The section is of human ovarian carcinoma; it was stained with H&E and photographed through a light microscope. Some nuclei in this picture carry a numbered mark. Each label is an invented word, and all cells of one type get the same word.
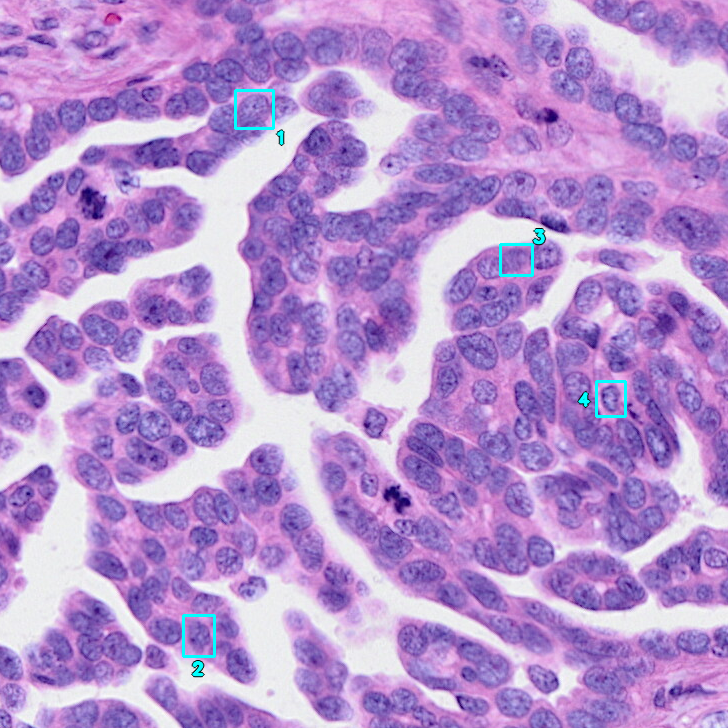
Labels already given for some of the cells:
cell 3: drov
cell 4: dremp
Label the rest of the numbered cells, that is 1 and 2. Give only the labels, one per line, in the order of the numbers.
drov
drov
